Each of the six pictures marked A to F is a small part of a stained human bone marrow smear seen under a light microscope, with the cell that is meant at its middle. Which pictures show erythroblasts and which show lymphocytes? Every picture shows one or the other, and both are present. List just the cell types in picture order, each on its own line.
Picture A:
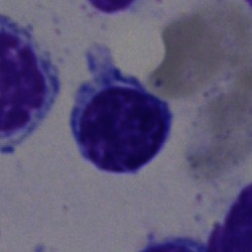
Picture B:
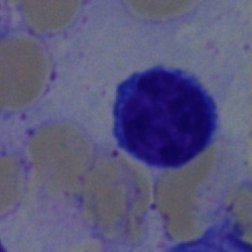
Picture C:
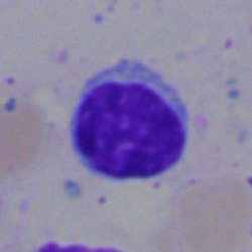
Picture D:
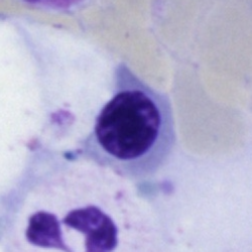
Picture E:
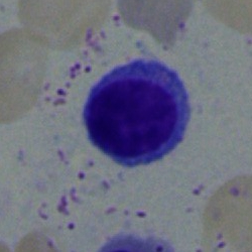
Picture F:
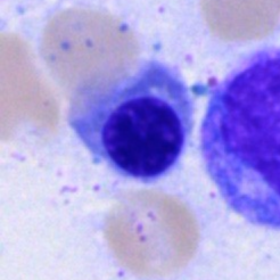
lymphocyte
lymphocyte
lymphocyte
erythroblast
lymphocyte
erythroblast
